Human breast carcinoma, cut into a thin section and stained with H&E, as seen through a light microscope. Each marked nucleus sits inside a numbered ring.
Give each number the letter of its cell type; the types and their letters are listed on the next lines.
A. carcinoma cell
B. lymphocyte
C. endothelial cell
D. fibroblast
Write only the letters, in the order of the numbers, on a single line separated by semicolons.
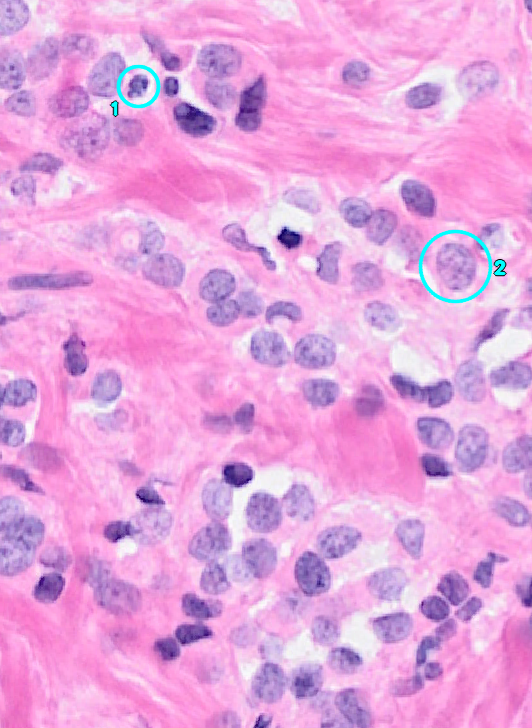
B; A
